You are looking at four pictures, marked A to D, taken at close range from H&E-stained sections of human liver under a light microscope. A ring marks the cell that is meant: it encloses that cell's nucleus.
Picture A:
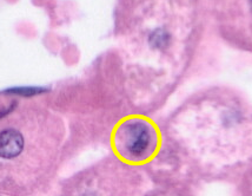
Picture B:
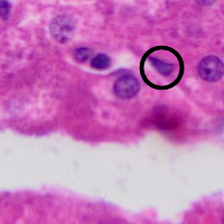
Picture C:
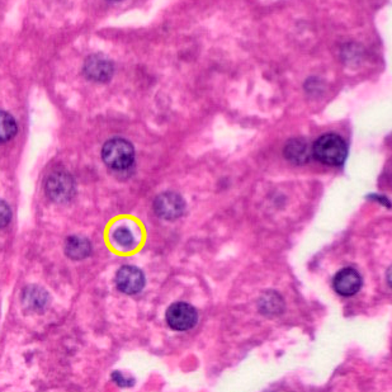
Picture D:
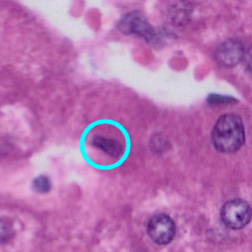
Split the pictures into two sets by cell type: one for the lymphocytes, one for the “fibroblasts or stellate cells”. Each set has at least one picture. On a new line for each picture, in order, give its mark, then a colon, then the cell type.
A: fibroblast or stellate cell
B: fibroblast or stellate cell
C: lymphocyte
D: fibroblast or stellate cell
